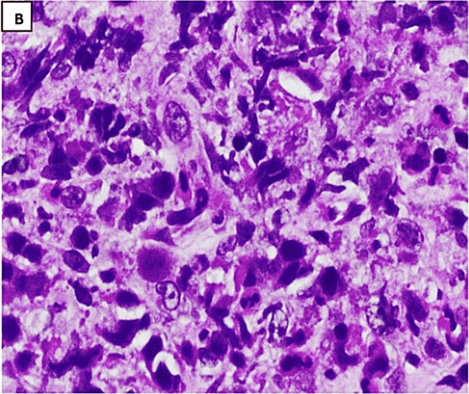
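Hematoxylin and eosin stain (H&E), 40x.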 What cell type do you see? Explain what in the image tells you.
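Large neoplastic cells. Crowded large cells with big irregular, pleomorphic nuclei. Some nuclei show visible nucleoli and coarse chromatin. Cells lie in a continuous sheet without organized architecture.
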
